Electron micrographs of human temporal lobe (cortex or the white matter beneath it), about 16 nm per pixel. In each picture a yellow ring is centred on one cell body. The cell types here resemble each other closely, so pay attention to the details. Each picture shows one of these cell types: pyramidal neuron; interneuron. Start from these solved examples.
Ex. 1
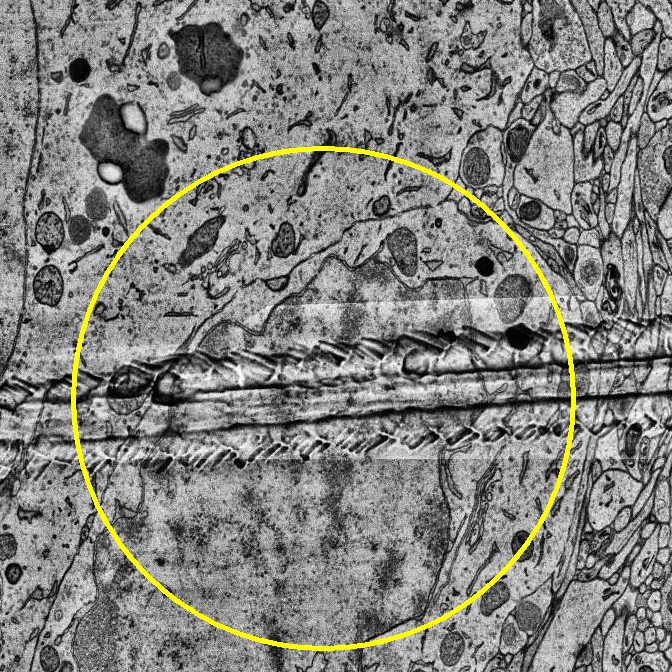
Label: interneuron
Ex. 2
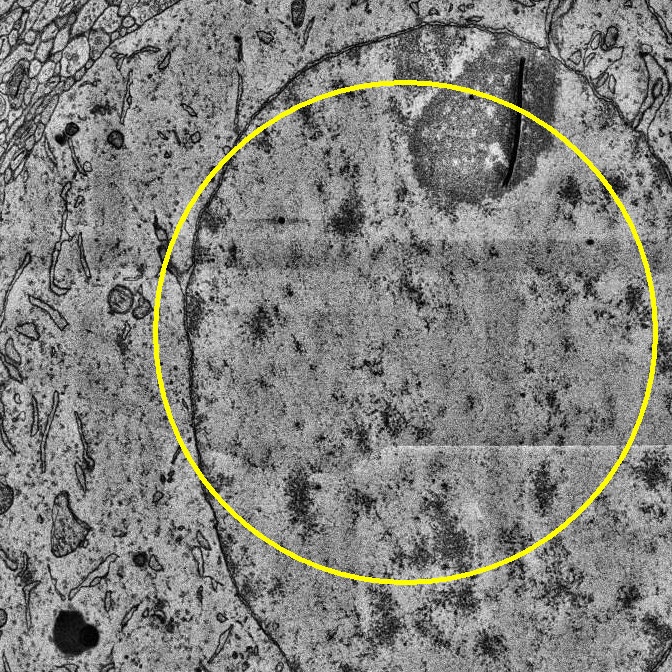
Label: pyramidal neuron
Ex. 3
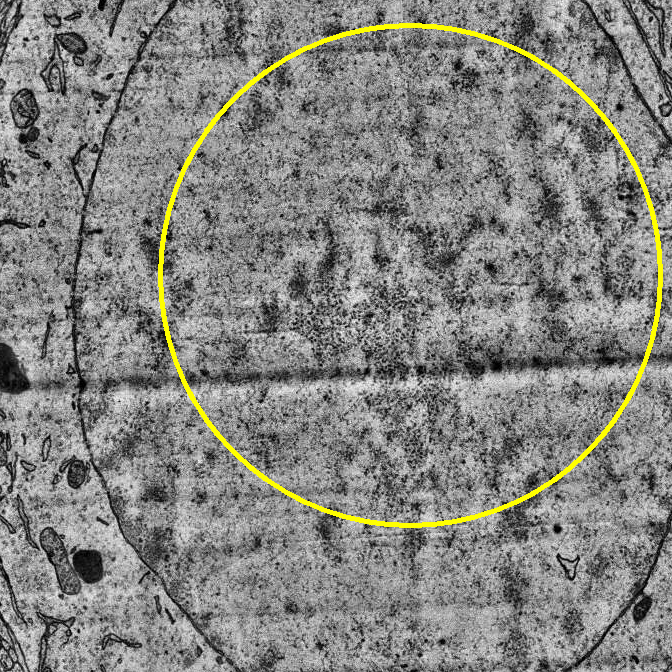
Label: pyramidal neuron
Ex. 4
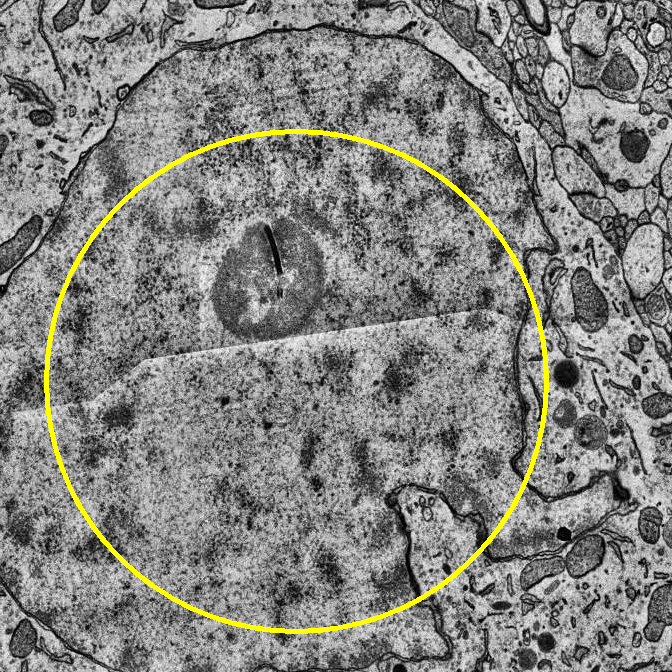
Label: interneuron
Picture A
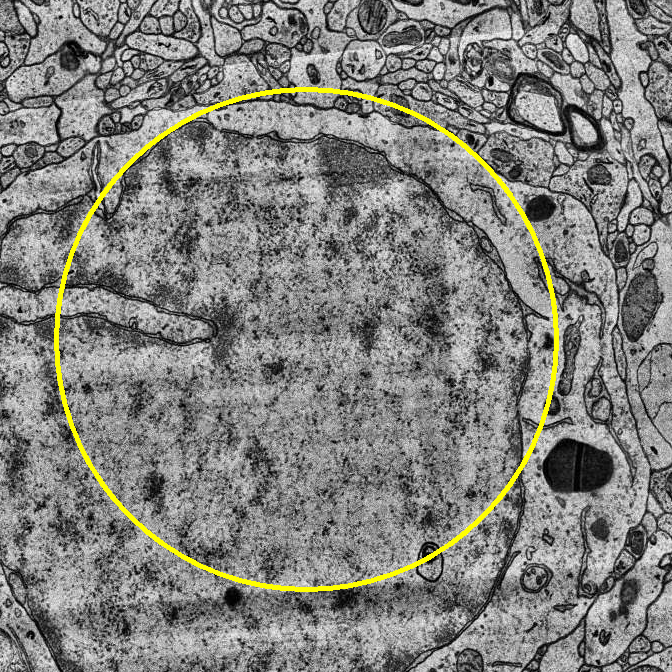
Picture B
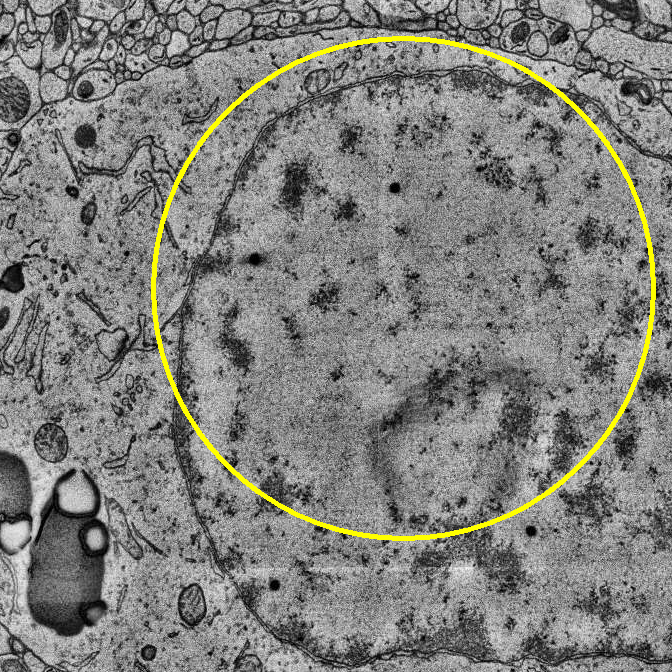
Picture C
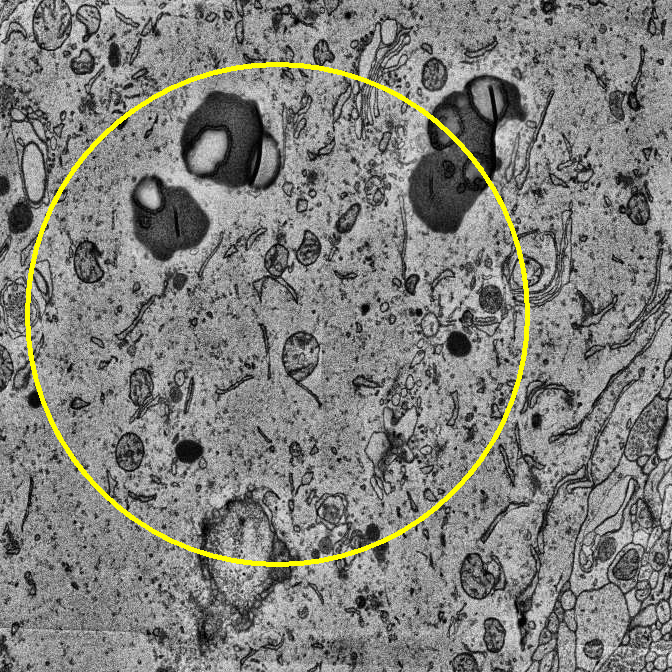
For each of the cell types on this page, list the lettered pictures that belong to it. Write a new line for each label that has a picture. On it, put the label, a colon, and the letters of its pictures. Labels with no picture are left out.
pyramidal neuron: C
interneuron: A, B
